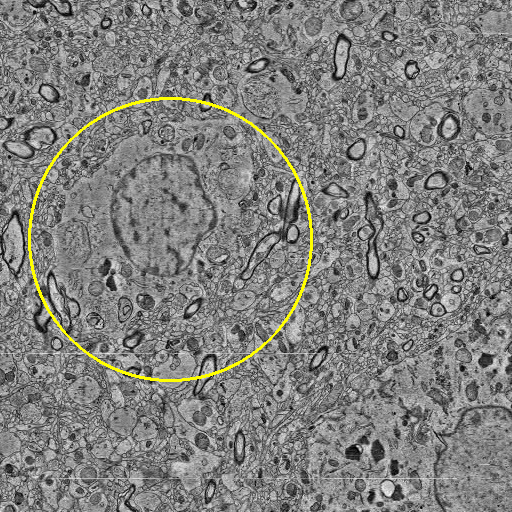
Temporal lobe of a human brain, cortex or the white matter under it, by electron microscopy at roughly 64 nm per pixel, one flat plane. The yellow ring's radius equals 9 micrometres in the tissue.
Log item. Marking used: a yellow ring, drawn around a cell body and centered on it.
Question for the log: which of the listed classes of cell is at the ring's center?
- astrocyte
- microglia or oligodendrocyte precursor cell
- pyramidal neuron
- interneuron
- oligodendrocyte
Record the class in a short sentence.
At the center of the ring lies an astrocyte.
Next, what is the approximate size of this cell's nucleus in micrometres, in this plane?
In this plane the nucleus spans approximately 8 by 7 micrometers.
